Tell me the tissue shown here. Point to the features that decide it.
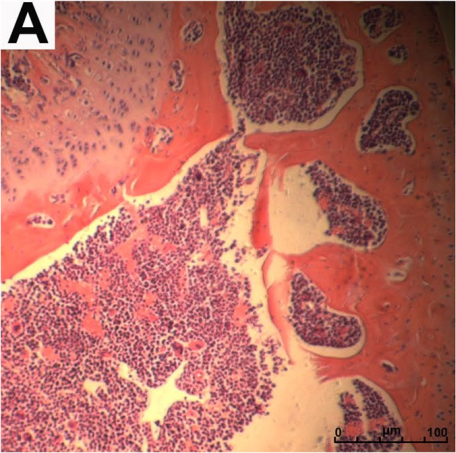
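Densely packed small cells with dark purple nuclei fill spaces between pink-red bony trabeculae. The bone matrix contains scattered cells in small lacunae. That points to this answer: Bone marrow.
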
